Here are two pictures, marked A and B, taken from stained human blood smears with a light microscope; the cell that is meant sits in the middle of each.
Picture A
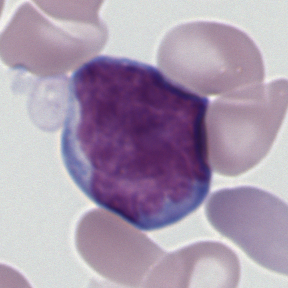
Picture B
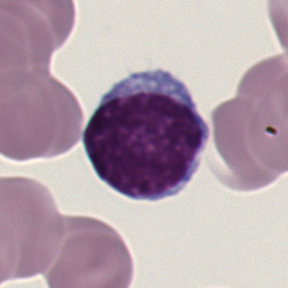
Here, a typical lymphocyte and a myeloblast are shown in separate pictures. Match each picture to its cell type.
A: myeloblast
B: typical lymphocyte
